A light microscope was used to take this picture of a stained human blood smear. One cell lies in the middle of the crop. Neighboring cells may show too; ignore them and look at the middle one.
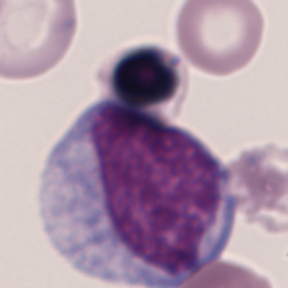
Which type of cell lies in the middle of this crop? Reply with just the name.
promyelocyte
